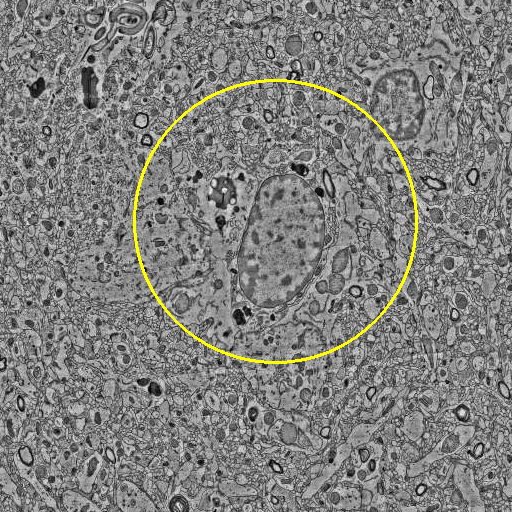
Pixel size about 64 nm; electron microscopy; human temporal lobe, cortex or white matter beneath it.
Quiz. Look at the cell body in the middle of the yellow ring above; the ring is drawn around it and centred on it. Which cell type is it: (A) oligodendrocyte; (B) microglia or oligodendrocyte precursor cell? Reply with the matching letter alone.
B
